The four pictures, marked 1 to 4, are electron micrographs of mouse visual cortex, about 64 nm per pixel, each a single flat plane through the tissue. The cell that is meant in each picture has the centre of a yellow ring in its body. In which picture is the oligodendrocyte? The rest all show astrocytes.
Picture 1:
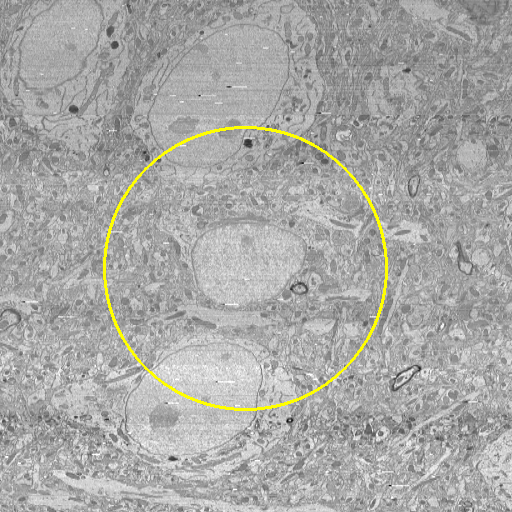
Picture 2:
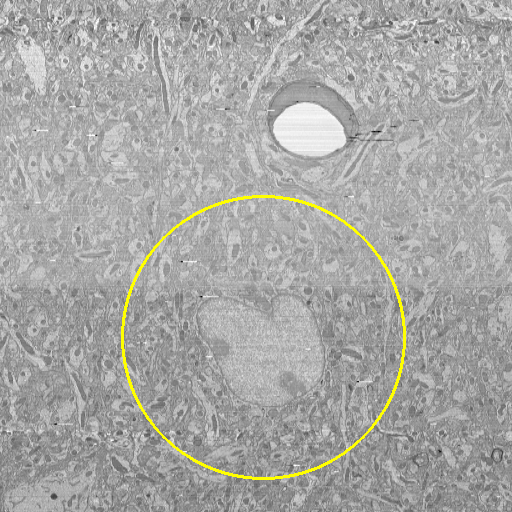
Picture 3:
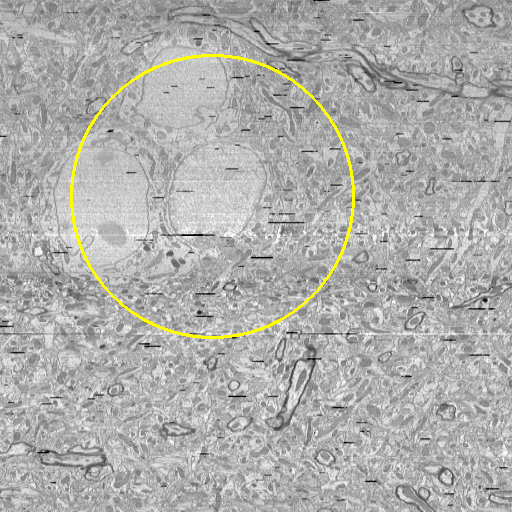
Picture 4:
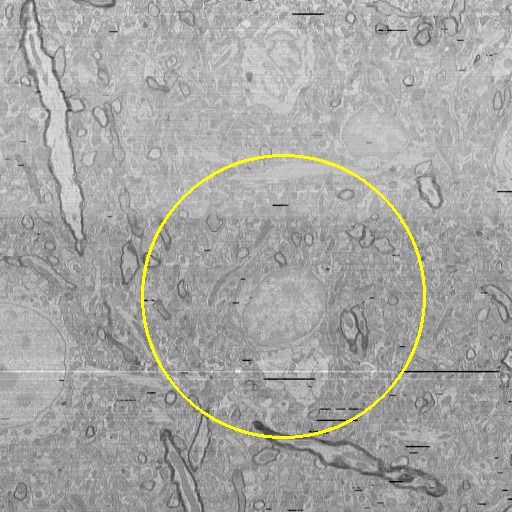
Picture 4 shows the oligodendrocyte.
